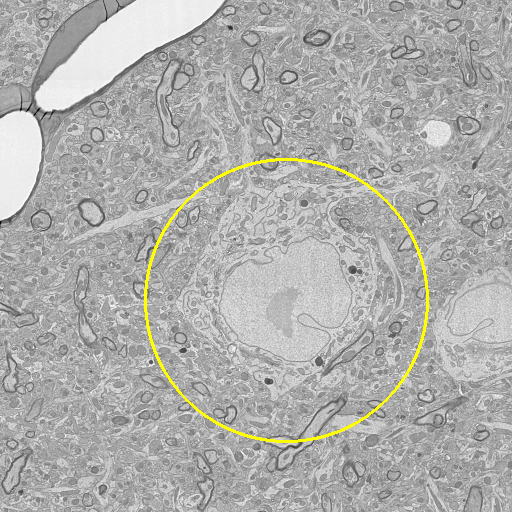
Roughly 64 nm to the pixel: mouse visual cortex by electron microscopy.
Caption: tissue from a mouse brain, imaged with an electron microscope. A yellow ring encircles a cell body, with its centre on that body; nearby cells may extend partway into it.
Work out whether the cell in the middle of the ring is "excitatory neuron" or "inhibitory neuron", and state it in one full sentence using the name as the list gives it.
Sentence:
In the picture, the cell that the yellow ring surrounds at its centre is an inhibitory neuron.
